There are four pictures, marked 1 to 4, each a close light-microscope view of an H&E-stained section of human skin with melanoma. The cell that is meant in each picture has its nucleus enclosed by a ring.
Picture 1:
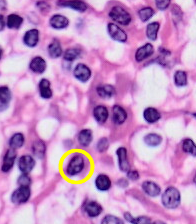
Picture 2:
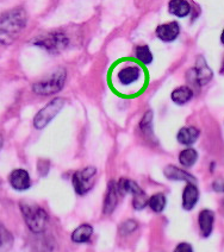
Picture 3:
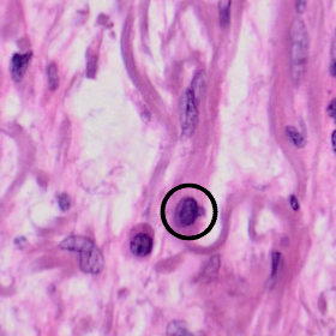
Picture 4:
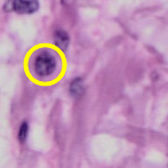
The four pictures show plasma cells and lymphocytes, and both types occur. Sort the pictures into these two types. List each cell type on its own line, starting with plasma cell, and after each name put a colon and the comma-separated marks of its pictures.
plasma cell: 1, 3, 4
lymphocyte: 2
